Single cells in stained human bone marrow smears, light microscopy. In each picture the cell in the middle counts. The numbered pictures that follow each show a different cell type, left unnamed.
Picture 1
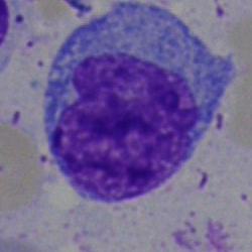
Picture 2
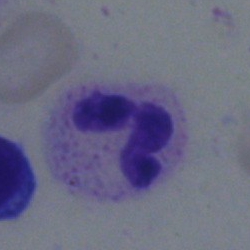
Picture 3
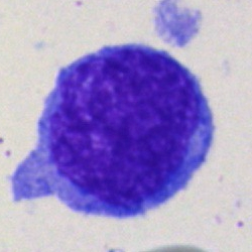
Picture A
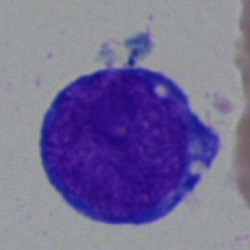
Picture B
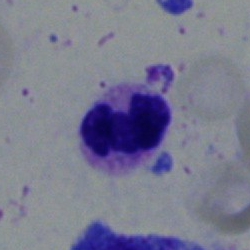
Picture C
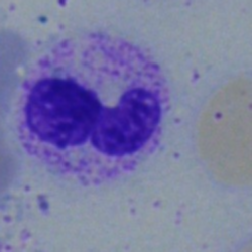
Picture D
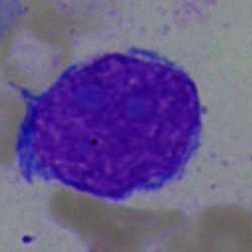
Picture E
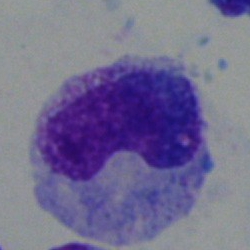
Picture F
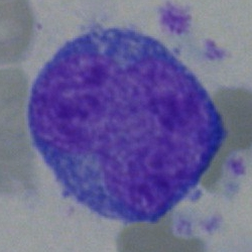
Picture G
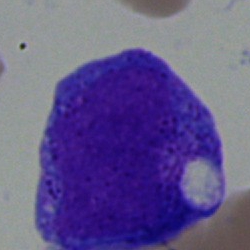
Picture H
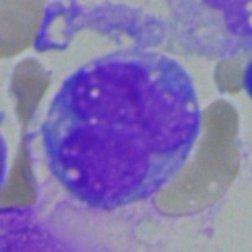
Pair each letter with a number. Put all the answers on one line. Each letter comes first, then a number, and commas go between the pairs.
A 3, B 2, C 2, D 3, E 1, F 3, G 3, H 1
